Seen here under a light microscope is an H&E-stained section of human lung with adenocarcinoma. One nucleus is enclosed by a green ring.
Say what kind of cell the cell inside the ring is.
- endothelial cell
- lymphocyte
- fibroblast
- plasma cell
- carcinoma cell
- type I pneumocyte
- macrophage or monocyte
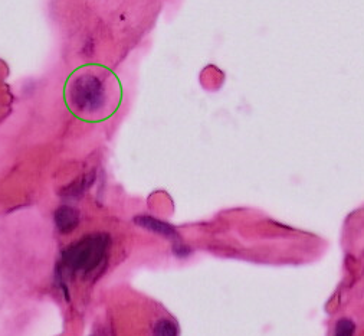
type I pneumocyte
